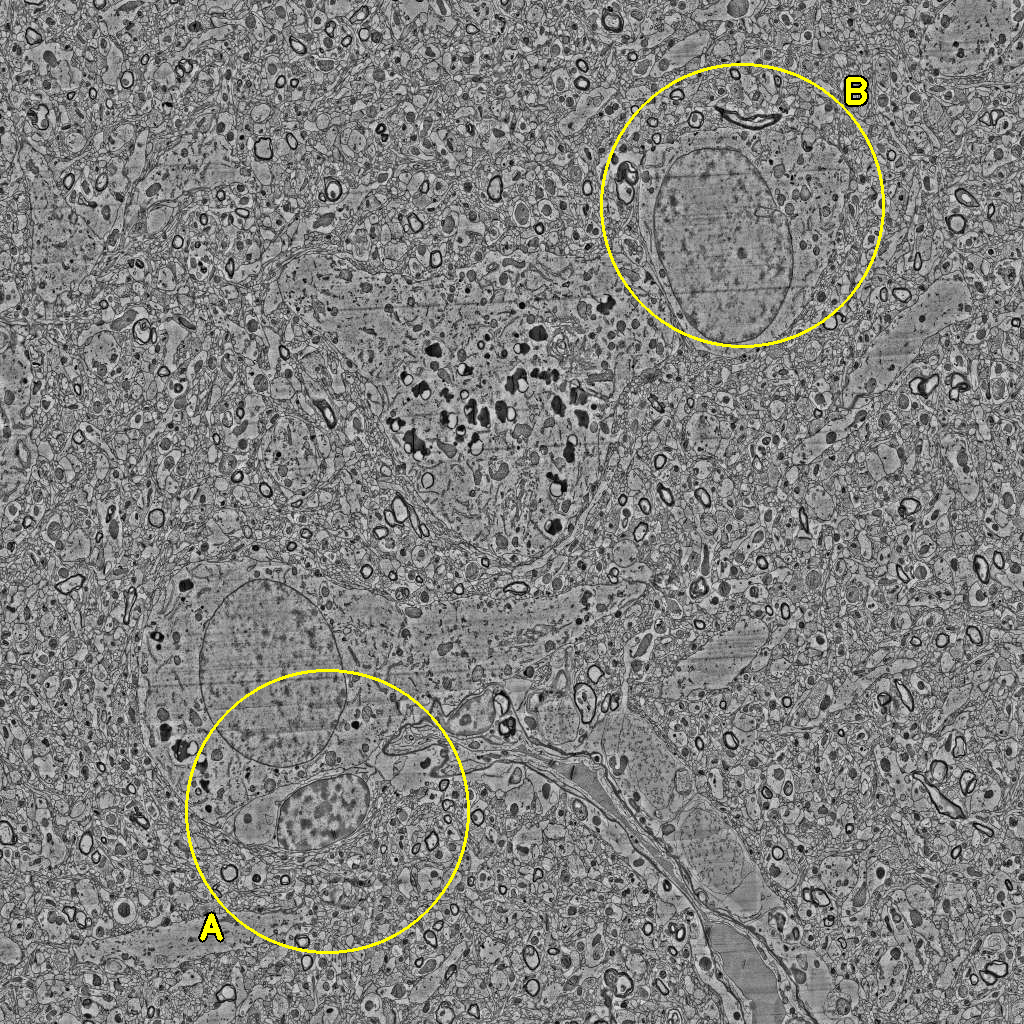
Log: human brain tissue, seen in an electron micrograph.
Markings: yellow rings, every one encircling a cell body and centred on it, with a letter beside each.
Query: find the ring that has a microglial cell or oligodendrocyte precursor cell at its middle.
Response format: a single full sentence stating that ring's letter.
The letter A marks the ring centred on the cell asked for in the image.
